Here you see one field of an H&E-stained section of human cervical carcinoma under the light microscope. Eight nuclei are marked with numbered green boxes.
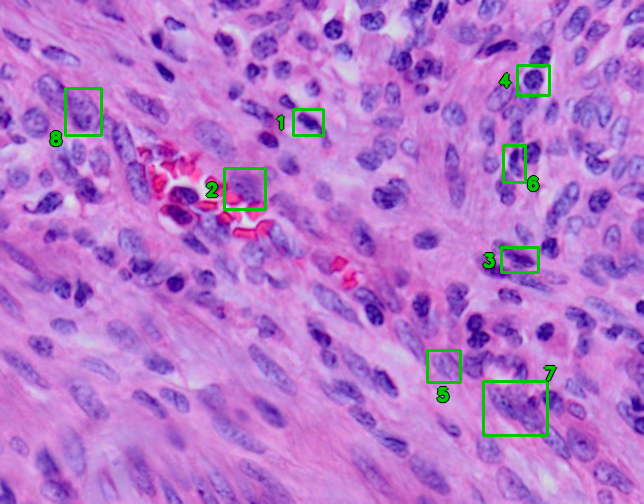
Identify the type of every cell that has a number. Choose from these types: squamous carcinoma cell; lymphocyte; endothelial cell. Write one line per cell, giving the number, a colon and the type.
1: lymphocyte
2: endothelial cell
3: lymphocyte
4: lymphocyte
5: endothelial cell
6: lymphocyte
7: endothelial cell
8: endothelial cell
